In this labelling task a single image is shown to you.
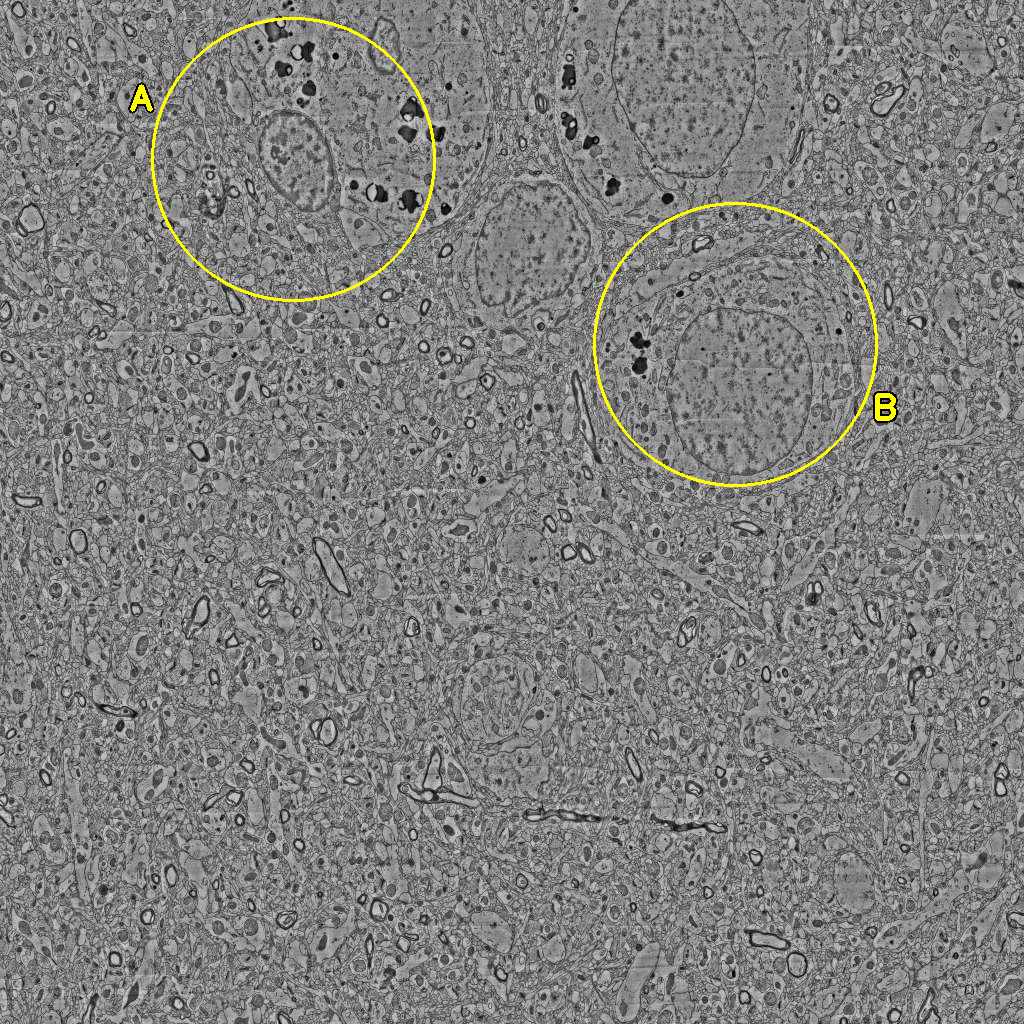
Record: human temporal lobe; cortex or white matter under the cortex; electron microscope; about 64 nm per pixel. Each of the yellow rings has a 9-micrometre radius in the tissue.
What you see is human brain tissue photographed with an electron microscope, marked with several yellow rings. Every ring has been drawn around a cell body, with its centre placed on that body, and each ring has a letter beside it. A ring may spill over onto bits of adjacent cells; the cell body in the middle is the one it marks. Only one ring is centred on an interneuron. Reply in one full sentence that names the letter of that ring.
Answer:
The ring centred on the cell asked for is the one marked B.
